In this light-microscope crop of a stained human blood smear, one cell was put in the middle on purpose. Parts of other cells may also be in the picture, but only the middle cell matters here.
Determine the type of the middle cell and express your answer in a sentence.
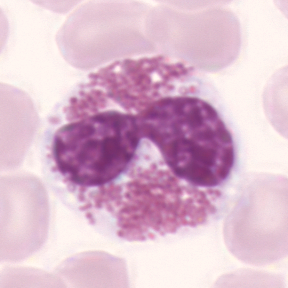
The cell at the heart of this crop is an eosinophil.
